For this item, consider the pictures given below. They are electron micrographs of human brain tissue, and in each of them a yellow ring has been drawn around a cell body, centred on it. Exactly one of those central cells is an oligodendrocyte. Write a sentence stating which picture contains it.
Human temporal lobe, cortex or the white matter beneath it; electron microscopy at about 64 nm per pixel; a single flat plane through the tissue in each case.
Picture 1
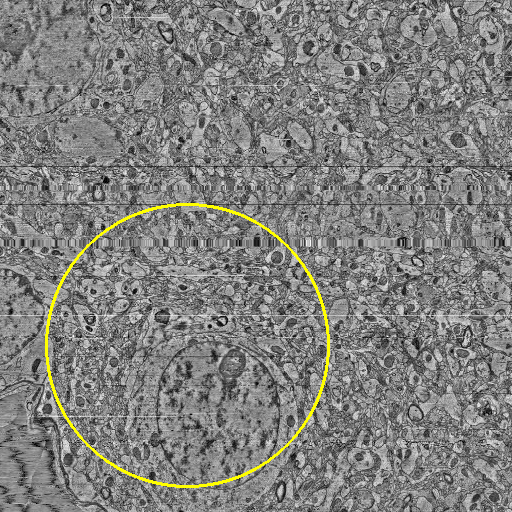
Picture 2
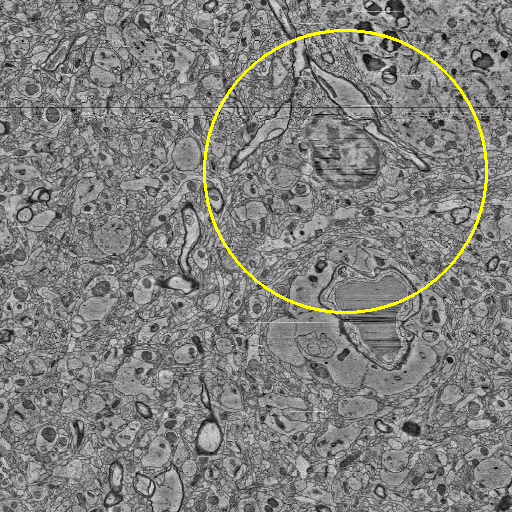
It is in Picture 2.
